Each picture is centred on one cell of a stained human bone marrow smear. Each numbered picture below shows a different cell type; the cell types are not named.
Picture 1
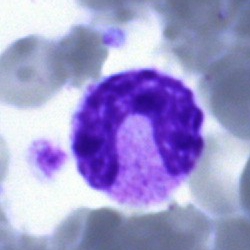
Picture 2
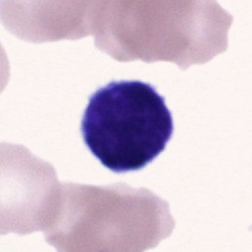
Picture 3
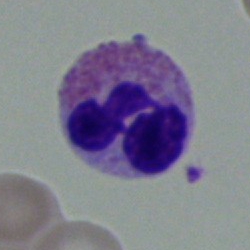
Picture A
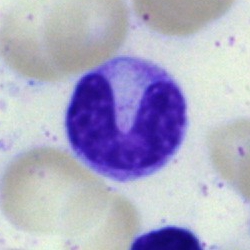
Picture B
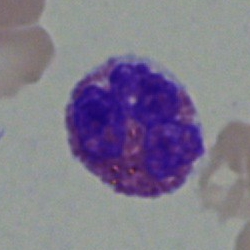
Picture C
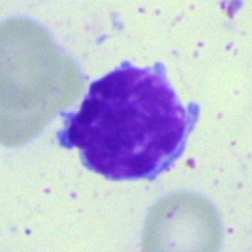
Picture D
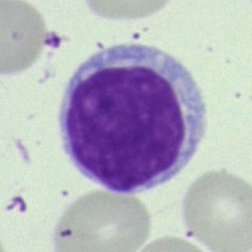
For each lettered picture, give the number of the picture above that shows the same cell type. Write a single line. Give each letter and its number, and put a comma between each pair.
A 1, B 3, C 2, D 2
